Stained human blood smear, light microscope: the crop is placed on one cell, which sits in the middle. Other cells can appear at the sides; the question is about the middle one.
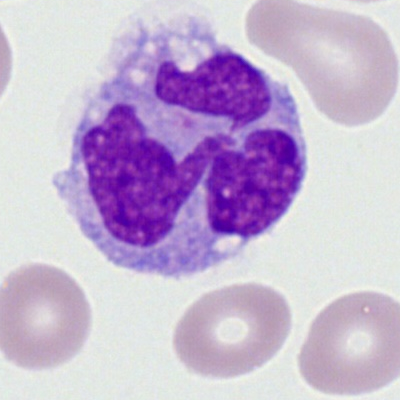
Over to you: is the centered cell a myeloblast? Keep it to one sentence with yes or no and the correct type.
No, the cell in the middle should be called a monocyte instead of a myeloblast.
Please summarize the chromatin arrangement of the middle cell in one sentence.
Just so you know, its chromatin is coarsely clumped.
